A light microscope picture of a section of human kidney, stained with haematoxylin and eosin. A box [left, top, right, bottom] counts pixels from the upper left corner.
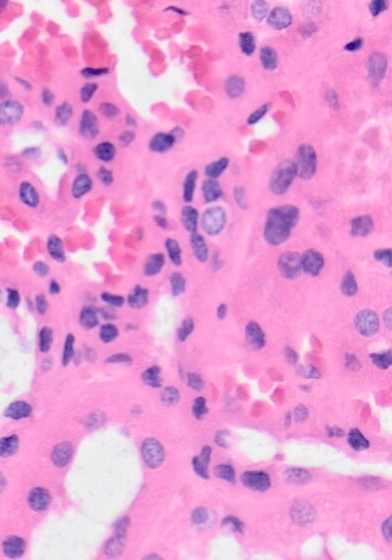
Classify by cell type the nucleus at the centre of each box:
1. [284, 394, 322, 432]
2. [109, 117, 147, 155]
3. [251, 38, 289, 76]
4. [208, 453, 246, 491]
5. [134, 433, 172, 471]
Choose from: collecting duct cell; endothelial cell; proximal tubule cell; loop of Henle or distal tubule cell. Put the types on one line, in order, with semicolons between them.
collecting duct cell; collecting duct cell; loop of Henle or distal tubule cell; collecting duct cell; loop of Henle or distal tubule cell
